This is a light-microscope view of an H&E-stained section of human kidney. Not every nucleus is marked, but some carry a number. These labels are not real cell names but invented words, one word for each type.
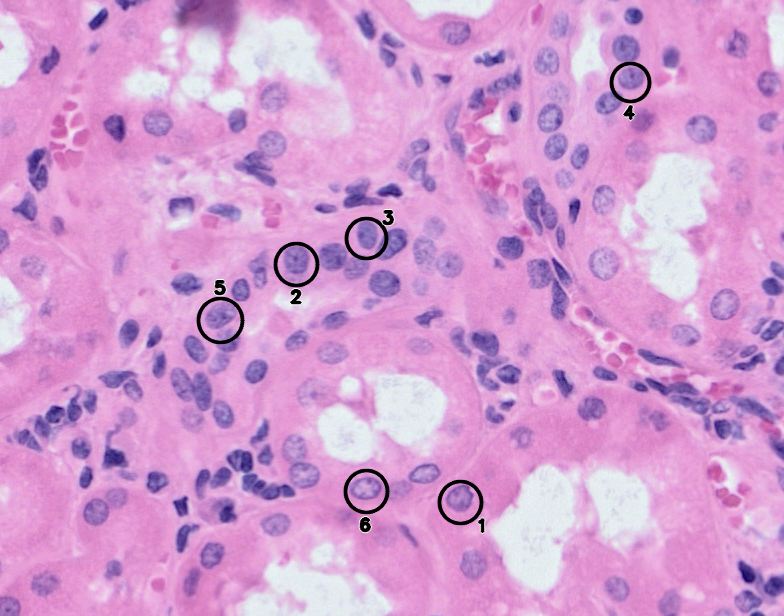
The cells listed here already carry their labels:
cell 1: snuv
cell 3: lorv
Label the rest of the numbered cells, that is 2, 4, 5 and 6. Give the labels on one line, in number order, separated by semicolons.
lorv; lorv; lorv; snuv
